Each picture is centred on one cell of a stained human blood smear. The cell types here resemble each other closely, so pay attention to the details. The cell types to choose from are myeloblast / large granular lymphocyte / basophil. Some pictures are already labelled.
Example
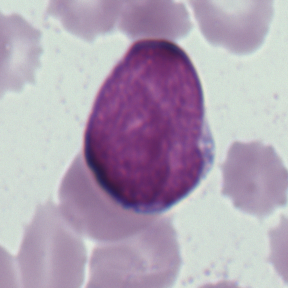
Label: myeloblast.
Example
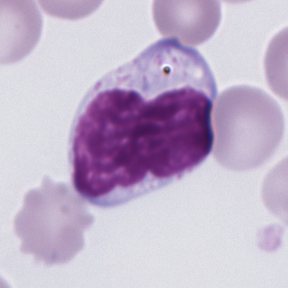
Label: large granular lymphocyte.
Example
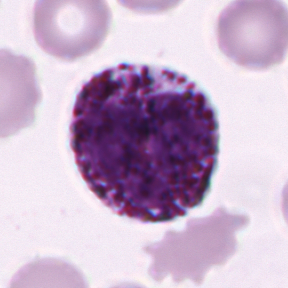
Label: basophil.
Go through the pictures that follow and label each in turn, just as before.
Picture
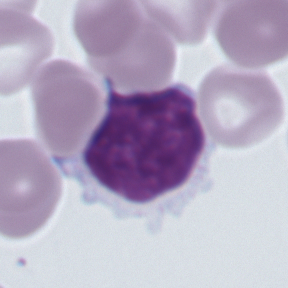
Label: large granular lymphocyte.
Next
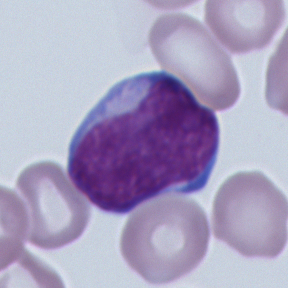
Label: myeloblast.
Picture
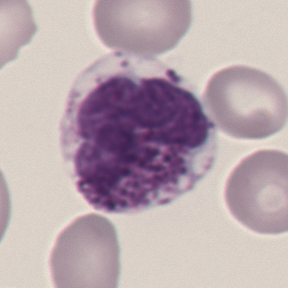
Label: basophil.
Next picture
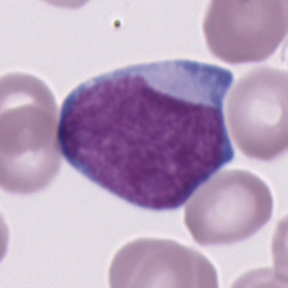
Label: myeloblast.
